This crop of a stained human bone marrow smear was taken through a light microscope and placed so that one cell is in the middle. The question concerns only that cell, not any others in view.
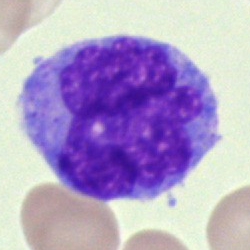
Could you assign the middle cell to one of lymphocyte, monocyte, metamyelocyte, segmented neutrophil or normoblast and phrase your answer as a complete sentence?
On this slide crop, the central cell is a monocyte.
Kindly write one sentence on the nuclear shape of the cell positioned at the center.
Two or more lobes make up the nucleus of this cell.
